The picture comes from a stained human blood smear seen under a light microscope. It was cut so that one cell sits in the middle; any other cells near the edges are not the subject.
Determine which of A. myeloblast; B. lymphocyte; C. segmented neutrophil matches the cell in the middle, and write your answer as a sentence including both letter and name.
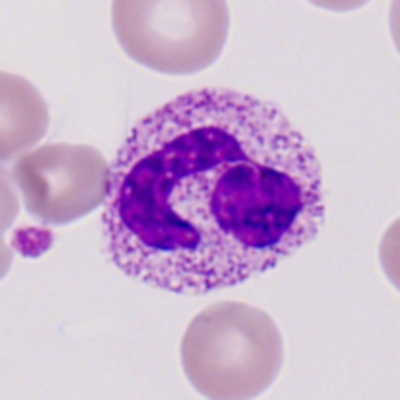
The cell in the middle is correctly identified as a segmented neutrophil in option C.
